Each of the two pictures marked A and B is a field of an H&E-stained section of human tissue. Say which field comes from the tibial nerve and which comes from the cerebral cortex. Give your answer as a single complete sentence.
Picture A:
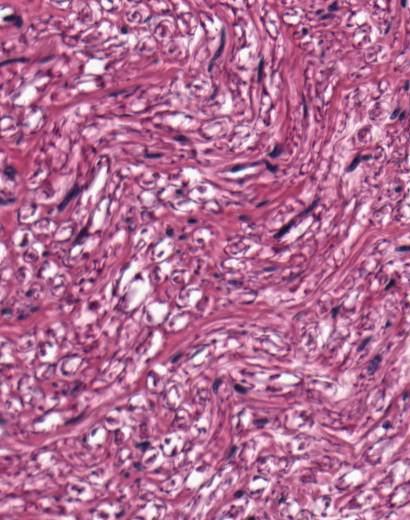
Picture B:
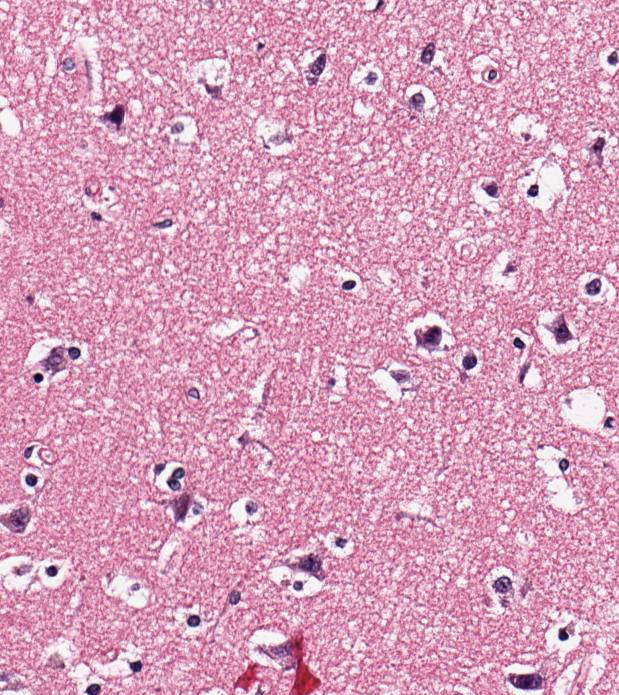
It is picture A that comes from the tibial nerve, and picture B that comes from the cerebral cortex.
